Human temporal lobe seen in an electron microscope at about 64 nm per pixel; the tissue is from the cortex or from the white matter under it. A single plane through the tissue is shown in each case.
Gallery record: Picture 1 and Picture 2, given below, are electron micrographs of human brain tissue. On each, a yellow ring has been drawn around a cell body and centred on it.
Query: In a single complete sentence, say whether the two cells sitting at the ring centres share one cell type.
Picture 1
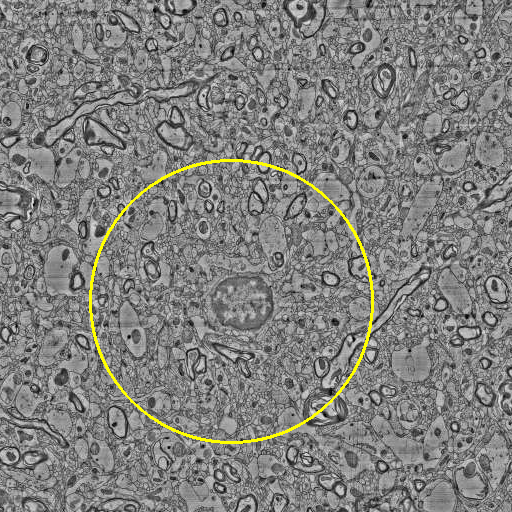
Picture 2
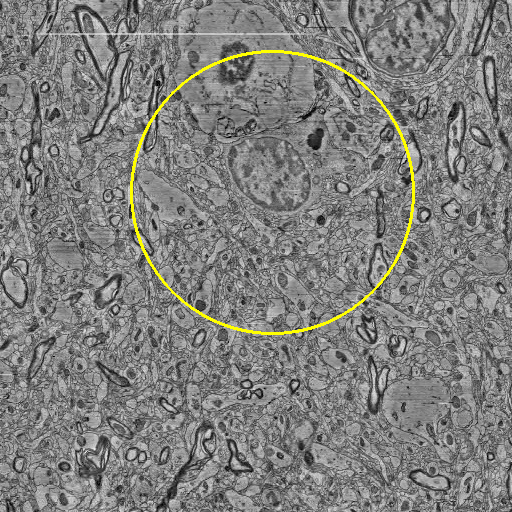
Yes, in both pictures the cell at the ring's centre is of one and the same type.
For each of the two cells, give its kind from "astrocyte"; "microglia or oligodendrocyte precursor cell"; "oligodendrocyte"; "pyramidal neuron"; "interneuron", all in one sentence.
Both the first and the second picture show an oligodendrocyte in the ring.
